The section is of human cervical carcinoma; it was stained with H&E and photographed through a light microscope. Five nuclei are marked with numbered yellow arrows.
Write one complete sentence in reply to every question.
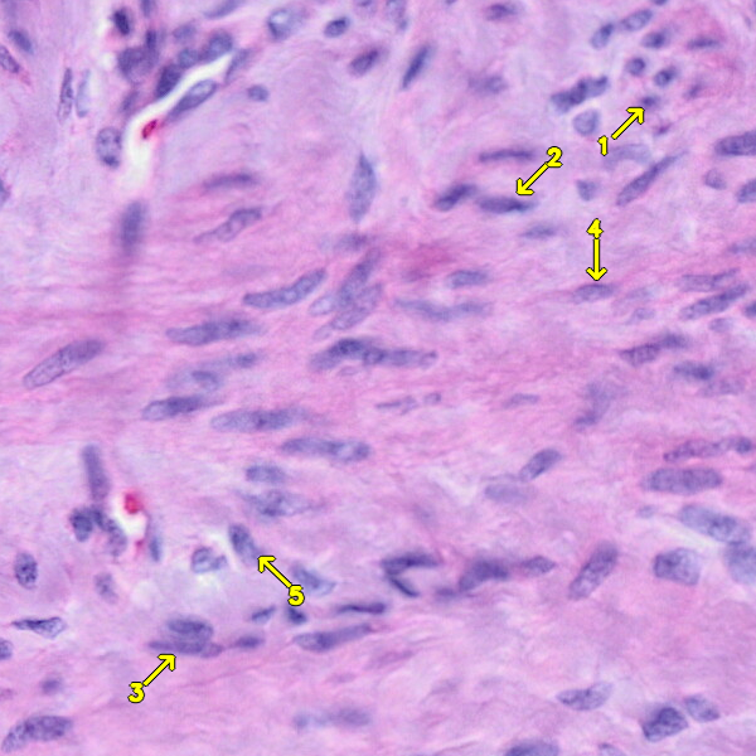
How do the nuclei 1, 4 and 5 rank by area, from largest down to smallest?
Largest first, the order by area is 5, 4, 1.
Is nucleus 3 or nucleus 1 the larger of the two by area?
Nucleus 3 is larger, with an area about 4 times that of nucleus 1.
